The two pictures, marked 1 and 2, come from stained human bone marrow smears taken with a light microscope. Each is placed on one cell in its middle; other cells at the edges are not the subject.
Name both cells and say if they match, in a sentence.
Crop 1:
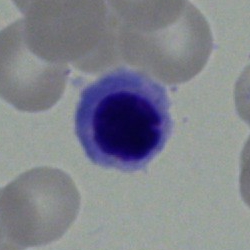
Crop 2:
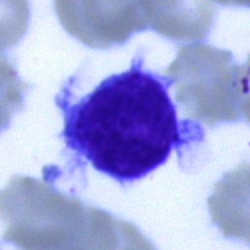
No, a normoblast is the subject of crop 1, and a lymphocyte is the subject of crop 2.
